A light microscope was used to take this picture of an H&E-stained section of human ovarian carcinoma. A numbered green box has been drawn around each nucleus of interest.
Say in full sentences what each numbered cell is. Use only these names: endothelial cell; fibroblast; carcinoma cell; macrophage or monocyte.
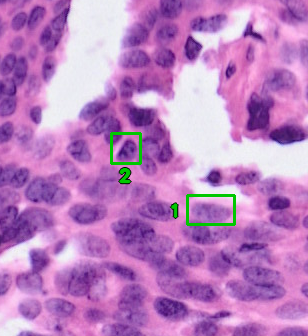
Cell 1 is a carcinoma cell and cell 2 is a macrophage or monocyte.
